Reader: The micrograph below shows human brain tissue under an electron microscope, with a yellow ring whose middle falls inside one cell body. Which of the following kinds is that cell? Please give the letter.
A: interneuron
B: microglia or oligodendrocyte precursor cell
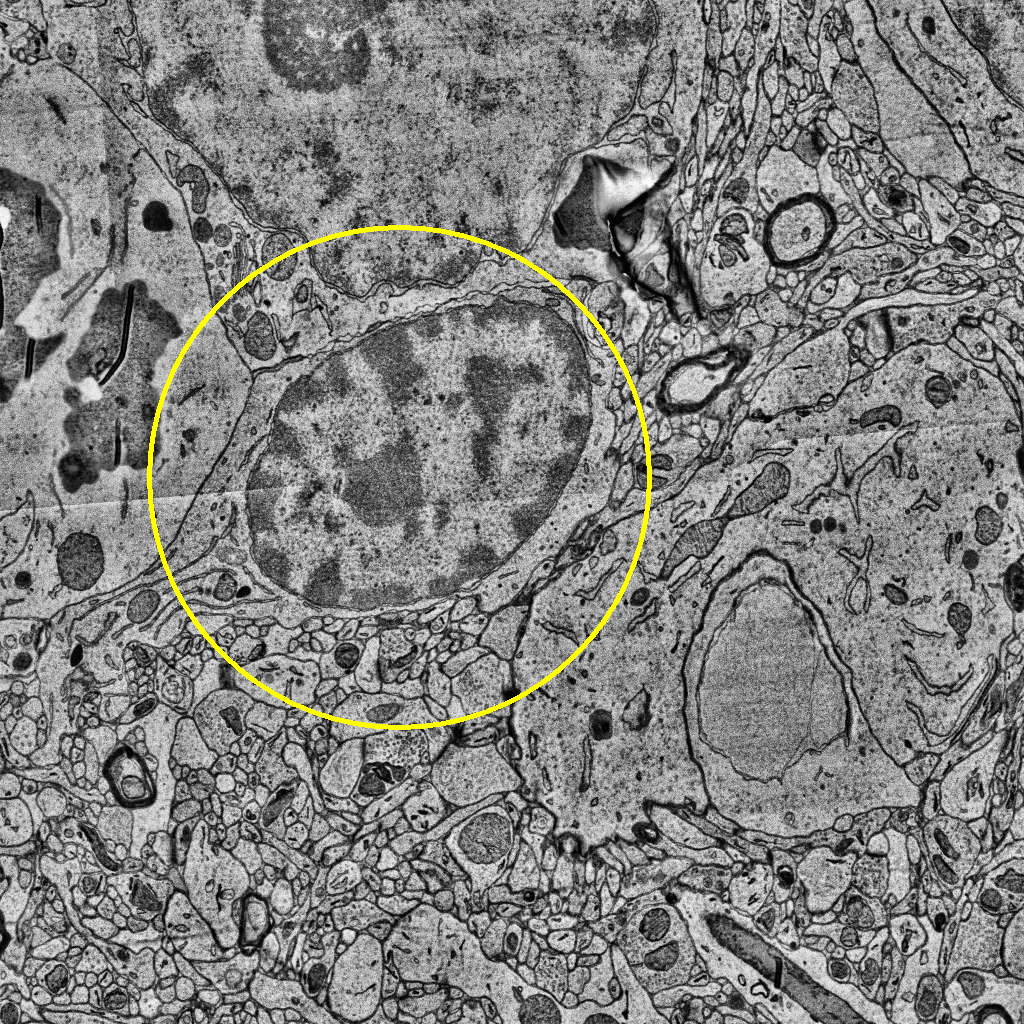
B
